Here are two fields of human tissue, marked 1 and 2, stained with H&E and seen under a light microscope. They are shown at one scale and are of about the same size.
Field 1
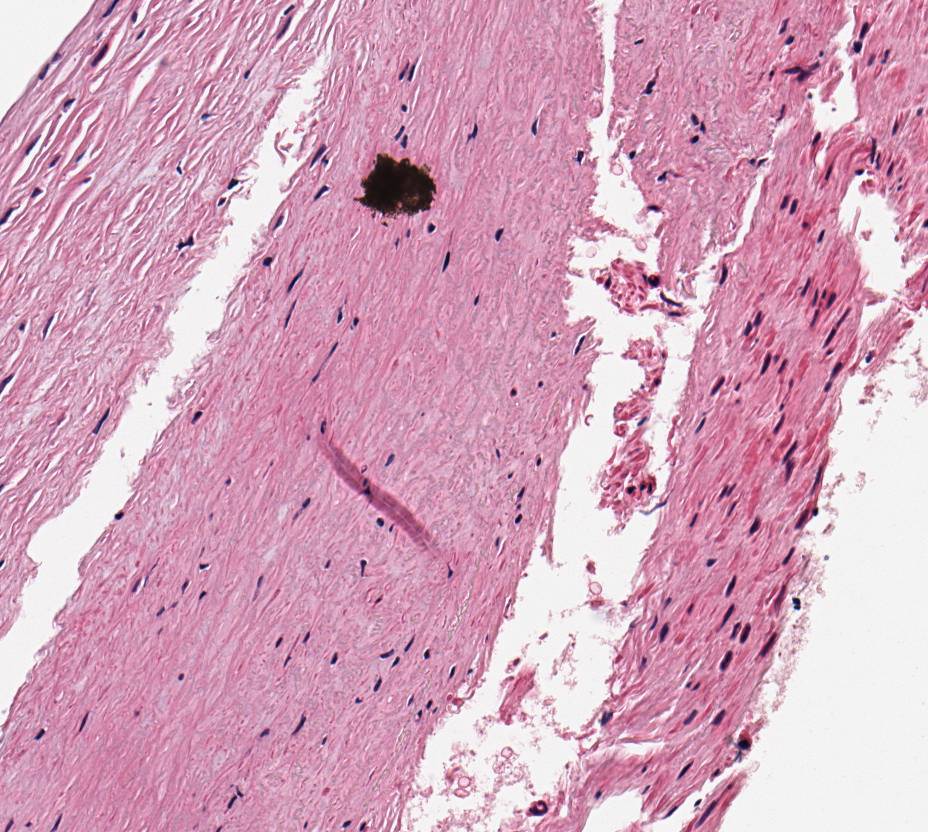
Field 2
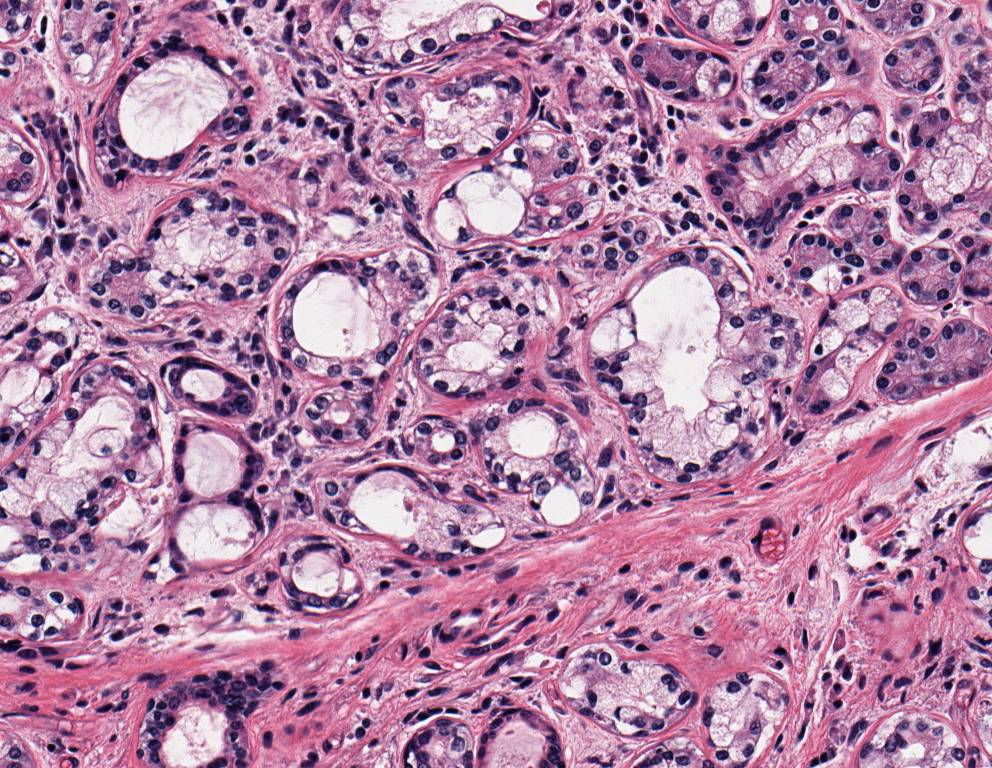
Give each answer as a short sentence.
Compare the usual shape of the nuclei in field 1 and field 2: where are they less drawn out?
Rounder nuclei lie in field 2.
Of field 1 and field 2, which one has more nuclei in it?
The larger number of nuclei is in field 2.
